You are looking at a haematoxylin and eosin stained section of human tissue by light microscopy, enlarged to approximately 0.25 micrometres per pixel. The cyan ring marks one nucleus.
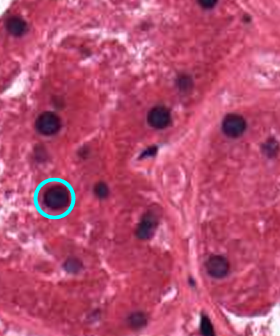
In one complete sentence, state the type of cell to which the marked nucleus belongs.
In the section shown, the marked nucleus belongs to a proximal tubule cell.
